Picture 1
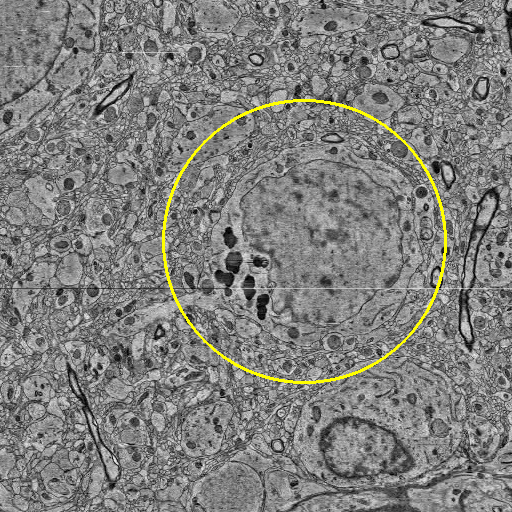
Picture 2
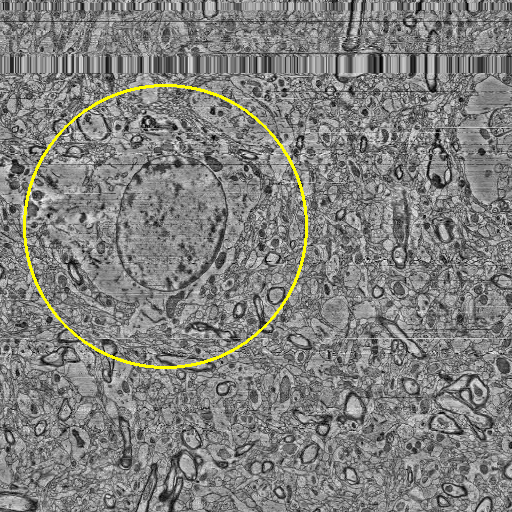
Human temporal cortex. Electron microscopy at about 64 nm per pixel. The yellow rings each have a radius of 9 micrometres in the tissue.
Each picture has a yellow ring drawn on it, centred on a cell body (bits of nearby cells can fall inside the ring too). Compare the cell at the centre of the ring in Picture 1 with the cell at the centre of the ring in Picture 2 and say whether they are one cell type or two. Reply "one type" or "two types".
two types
